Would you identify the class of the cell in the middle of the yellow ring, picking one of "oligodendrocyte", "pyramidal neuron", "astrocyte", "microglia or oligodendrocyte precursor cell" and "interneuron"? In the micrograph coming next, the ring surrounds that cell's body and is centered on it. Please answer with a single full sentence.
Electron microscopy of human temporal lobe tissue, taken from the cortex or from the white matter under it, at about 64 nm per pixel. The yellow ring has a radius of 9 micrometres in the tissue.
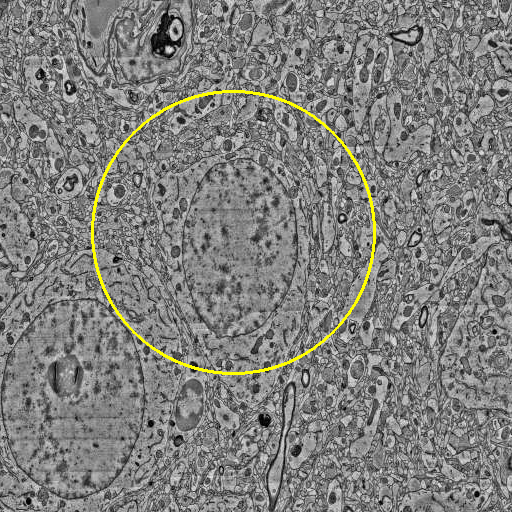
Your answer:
In the micrograph, it is a pyramidal neuron whose body lies at the ring's center.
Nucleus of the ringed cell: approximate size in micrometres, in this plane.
The nucleus has a long axis of about 12 micrometres and a short axis of about 7 micrometres in this plane.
